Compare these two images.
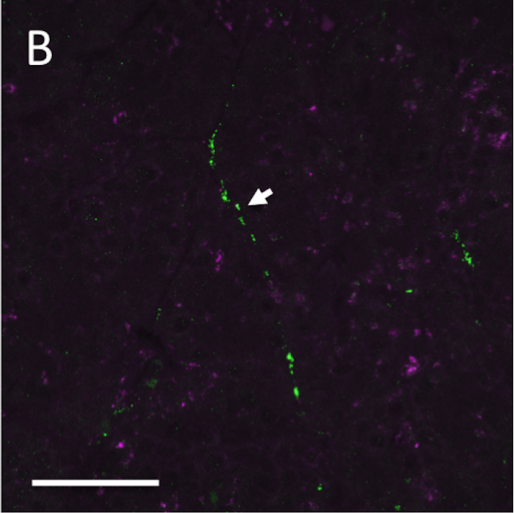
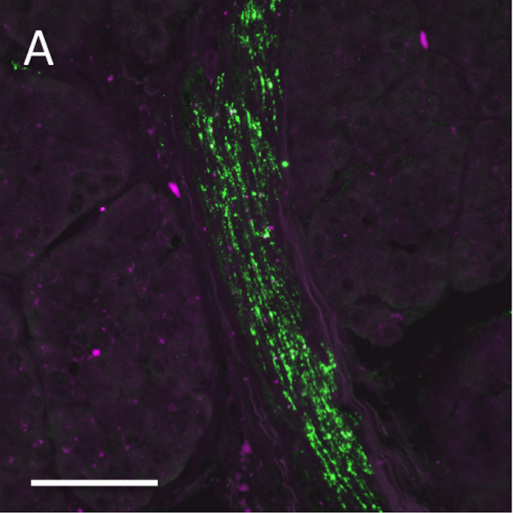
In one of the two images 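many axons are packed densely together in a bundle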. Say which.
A: the second image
